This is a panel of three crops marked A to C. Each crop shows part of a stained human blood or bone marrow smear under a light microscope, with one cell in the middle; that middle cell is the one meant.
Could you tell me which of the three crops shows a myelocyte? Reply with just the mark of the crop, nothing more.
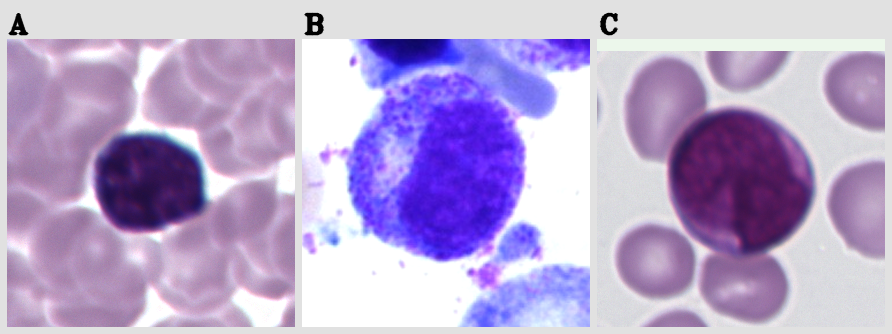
B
